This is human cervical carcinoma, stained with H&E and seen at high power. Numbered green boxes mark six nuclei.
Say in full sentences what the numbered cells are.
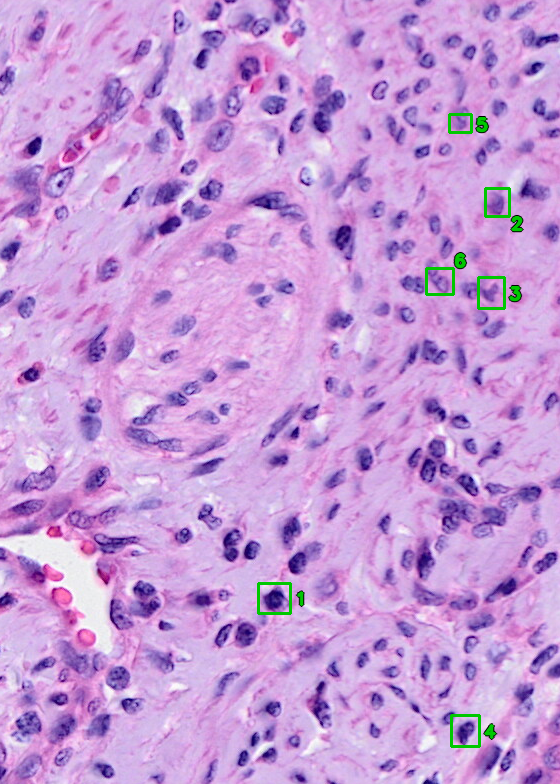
Cell 1 is a lymphocyte, cell 2 is a smooth muscle cell, cell 3 is a smooth muscle cell, cell 4 is a lymphocyte, cell 5 is a smooth muscle cell and cell 6 is a smooth muscle cell.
